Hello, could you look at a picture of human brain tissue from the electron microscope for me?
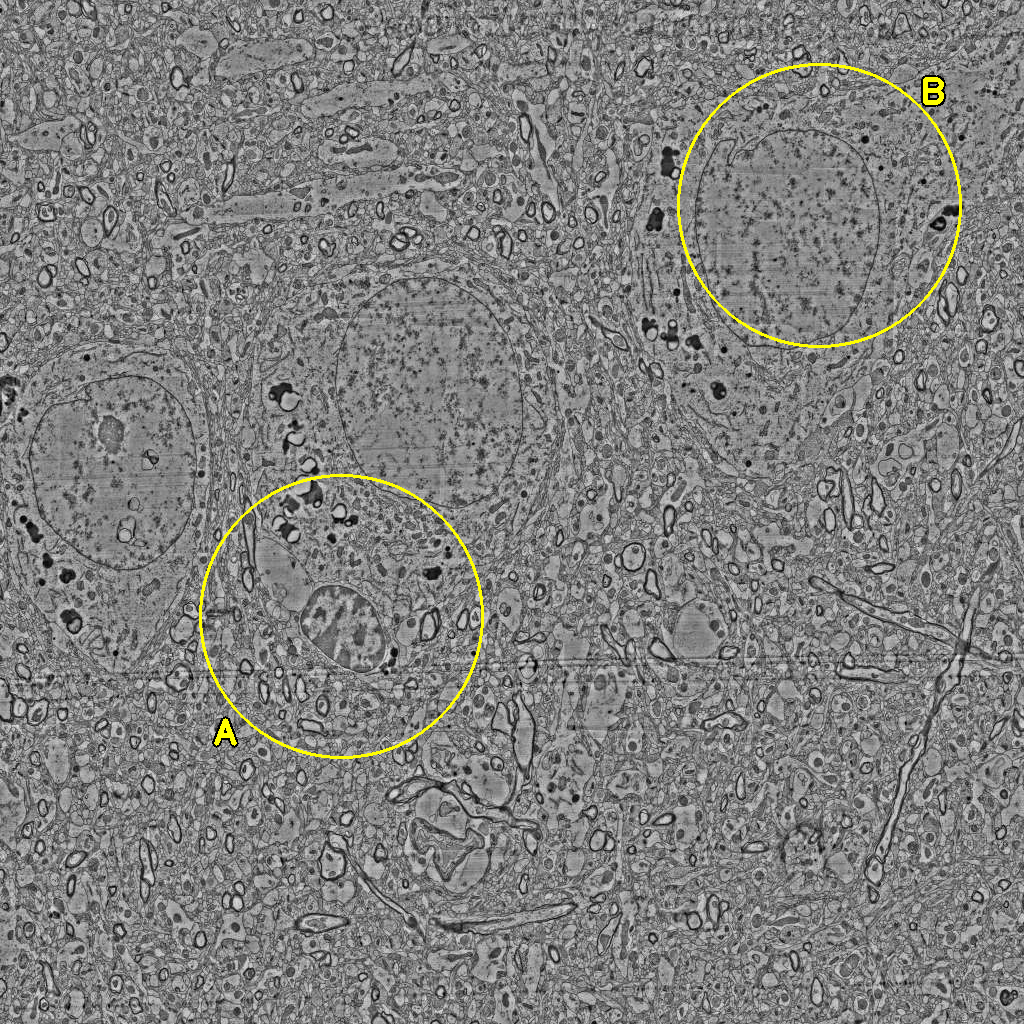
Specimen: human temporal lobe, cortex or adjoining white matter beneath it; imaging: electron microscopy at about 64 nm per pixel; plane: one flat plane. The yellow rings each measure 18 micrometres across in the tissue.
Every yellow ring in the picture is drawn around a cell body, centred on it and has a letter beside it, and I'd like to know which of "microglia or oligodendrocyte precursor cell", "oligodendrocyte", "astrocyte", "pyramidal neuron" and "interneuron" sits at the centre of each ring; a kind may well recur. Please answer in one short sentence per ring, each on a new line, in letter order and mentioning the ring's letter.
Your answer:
The cell sitting at the centre of ring A is a microglial cell or oligodendrocyte precursor cell.
The cell sitting at the centre of ring B is a pyramidal neuron.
